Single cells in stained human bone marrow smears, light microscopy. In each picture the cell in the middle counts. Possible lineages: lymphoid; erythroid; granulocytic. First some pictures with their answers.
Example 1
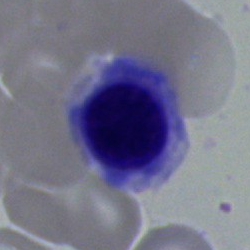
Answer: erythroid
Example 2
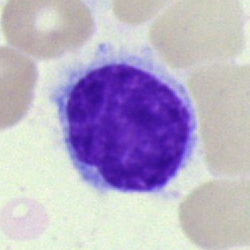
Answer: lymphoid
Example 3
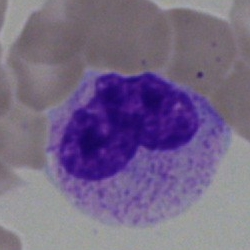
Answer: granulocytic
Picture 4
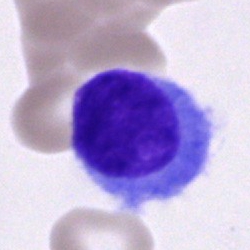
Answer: lymphoid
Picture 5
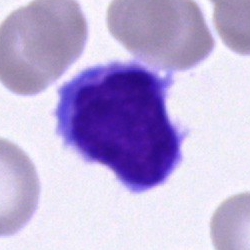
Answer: lymphoid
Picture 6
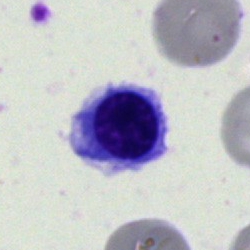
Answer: erythroid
